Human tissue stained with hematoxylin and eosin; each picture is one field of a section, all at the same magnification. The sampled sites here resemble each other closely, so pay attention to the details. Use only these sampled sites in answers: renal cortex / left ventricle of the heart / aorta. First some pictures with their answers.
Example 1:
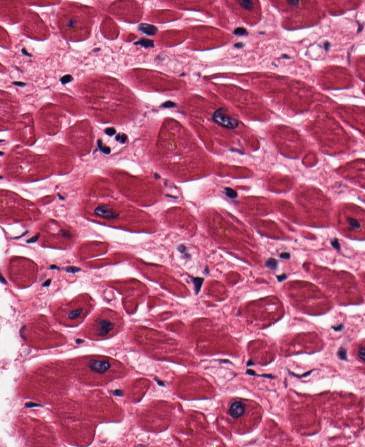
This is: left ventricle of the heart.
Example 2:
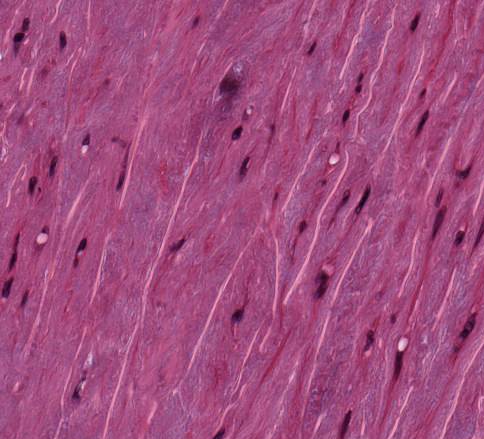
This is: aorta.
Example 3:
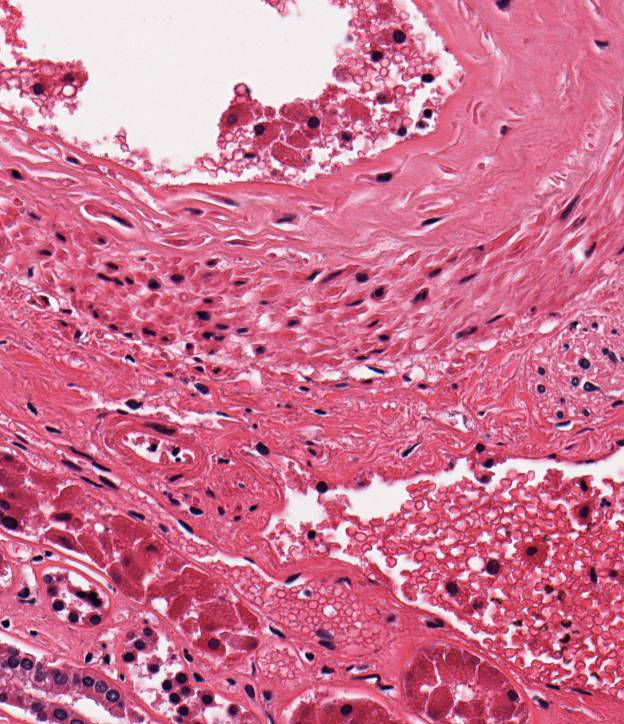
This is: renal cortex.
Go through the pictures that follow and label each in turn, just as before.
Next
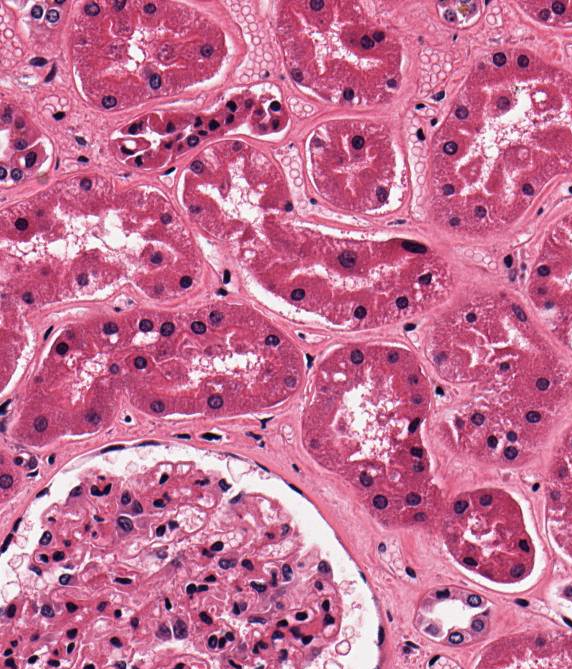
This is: renal cortex.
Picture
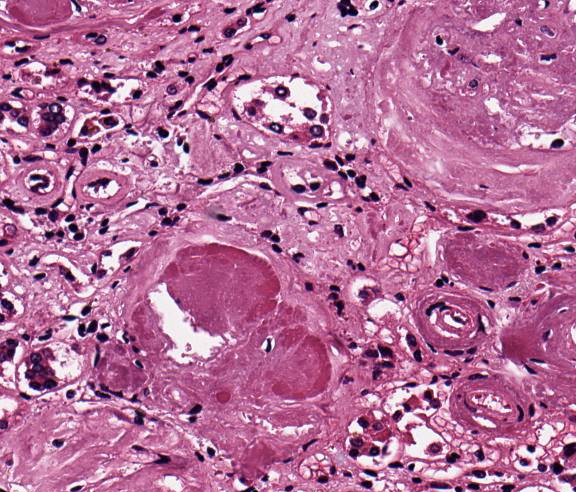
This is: renal cortex.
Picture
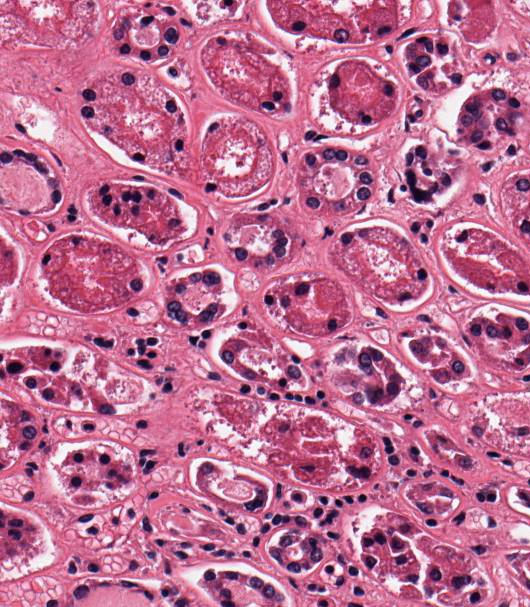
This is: renal cortex.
